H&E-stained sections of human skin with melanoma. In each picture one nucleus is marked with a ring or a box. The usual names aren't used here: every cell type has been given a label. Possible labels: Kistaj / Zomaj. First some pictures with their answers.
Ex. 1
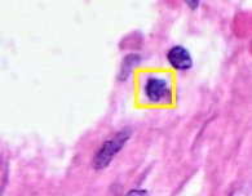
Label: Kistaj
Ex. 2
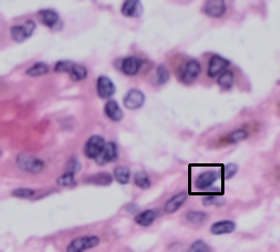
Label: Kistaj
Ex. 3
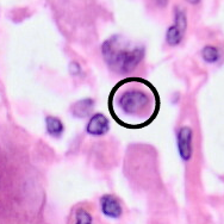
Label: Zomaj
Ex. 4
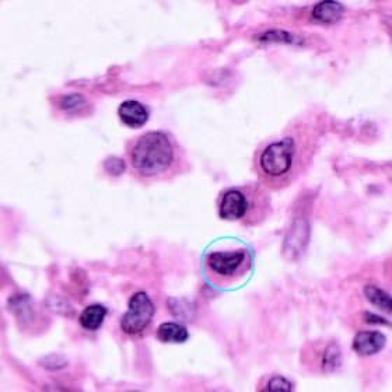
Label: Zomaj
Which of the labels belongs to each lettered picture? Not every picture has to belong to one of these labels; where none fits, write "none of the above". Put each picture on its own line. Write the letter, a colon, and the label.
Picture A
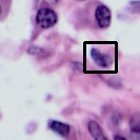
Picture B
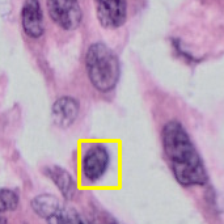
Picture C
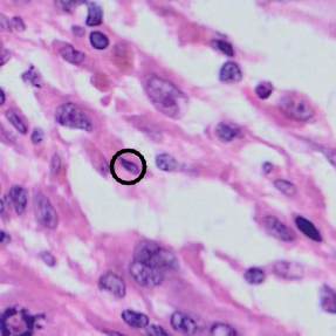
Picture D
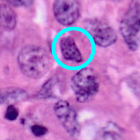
A: Kistaj
B: none of the above
C: Zomaj
D: none of the above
